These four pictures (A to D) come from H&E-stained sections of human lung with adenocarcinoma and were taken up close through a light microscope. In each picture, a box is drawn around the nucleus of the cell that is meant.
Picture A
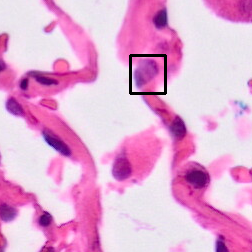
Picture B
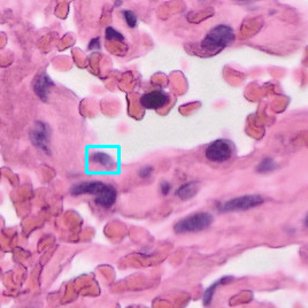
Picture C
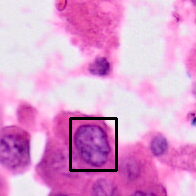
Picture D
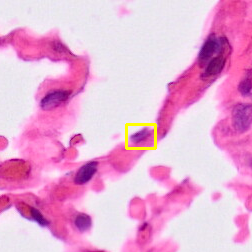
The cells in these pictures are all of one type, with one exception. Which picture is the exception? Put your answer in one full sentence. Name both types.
The others show type I pneumocytes, but picture C shows a carcinoma cell.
